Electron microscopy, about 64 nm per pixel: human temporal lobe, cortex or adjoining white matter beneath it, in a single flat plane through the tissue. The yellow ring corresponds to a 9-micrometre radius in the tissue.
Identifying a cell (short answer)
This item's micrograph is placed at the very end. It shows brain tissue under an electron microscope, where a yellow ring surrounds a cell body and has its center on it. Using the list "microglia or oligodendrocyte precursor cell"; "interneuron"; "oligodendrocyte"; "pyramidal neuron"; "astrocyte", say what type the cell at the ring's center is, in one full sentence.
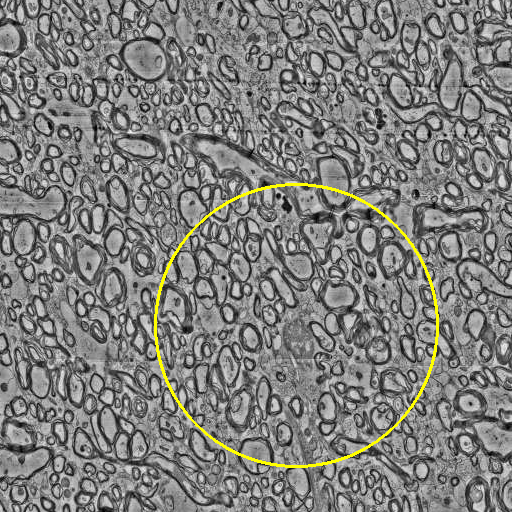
This picture shows an oligodendrocyte at the center of the yellow ring drawn on it.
